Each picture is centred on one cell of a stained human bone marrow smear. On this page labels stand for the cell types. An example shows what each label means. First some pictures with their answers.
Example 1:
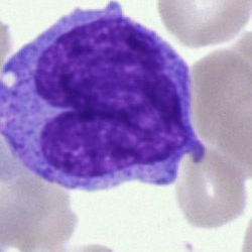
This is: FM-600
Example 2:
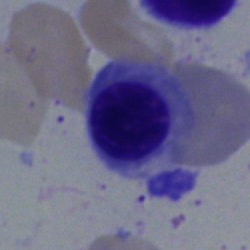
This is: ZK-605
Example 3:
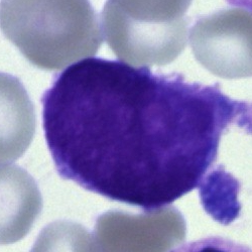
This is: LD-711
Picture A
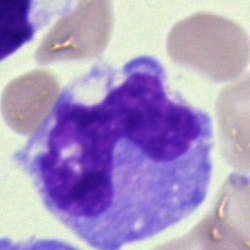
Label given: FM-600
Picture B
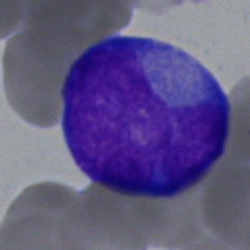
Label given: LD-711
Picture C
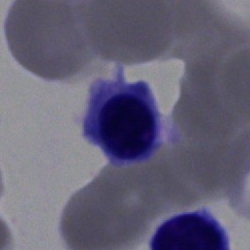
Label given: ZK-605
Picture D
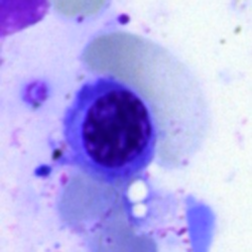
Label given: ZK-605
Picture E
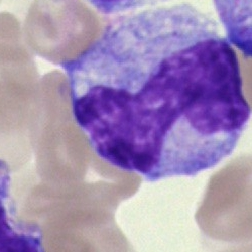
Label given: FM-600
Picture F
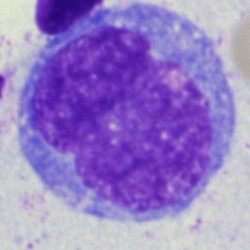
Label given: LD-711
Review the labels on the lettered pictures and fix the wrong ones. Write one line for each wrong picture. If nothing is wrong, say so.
F: FM-600, not LD-711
